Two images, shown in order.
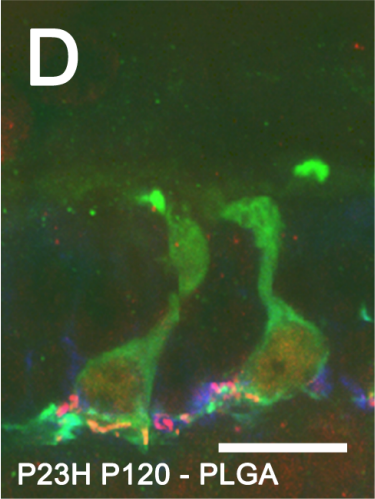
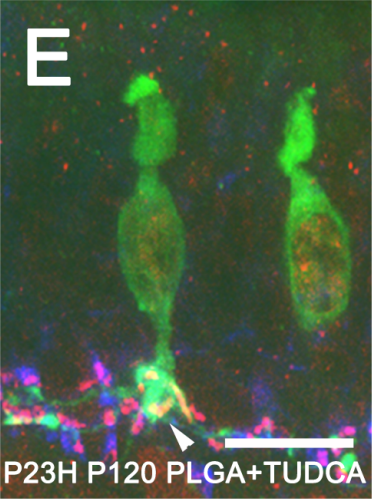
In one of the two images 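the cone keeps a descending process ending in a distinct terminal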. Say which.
The second image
